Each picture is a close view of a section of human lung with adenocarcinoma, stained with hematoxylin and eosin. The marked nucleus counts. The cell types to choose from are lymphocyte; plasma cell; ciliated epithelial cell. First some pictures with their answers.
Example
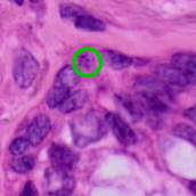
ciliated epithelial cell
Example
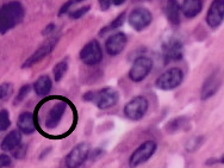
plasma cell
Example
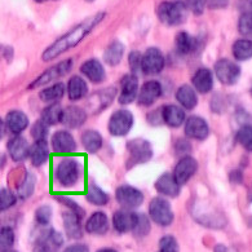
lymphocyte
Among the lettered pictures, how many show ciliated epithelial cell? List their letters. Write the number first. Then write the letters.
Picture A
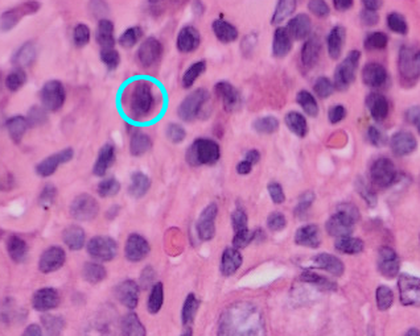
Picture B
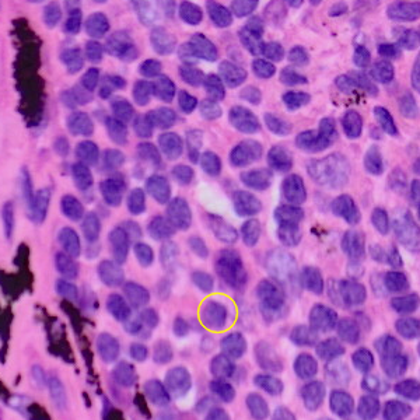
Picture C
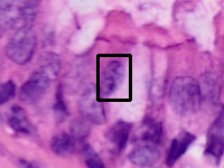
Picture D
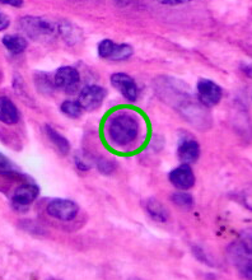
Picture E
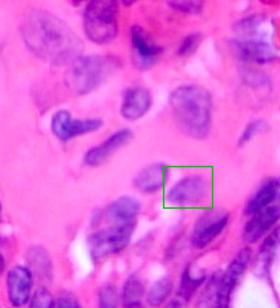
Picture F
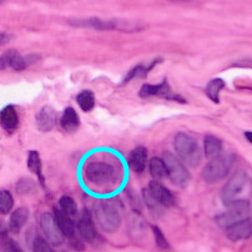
3: C, E, F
